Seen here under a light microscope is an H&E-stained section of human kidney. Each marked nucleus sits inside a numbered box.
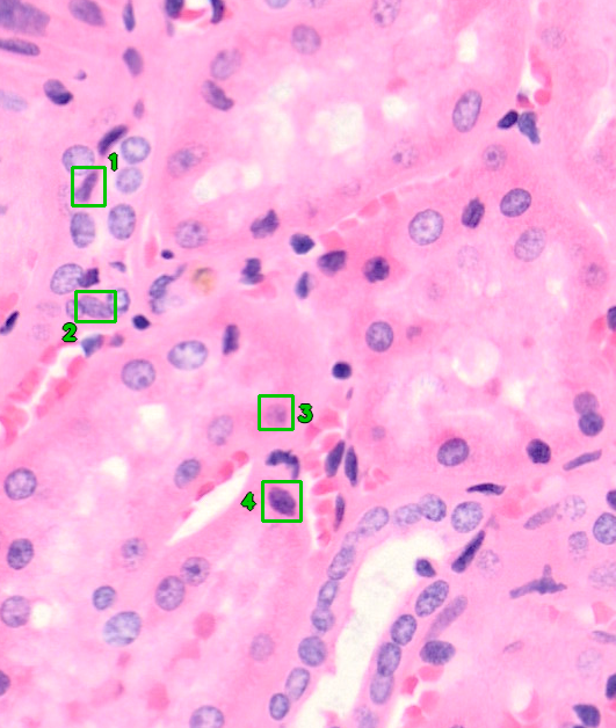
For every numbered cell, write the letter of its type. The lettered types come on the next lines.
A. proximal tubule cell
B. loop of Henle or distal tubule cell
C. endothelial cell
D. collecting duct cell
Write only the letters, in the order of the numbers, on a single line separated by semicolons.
D; D; A; A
